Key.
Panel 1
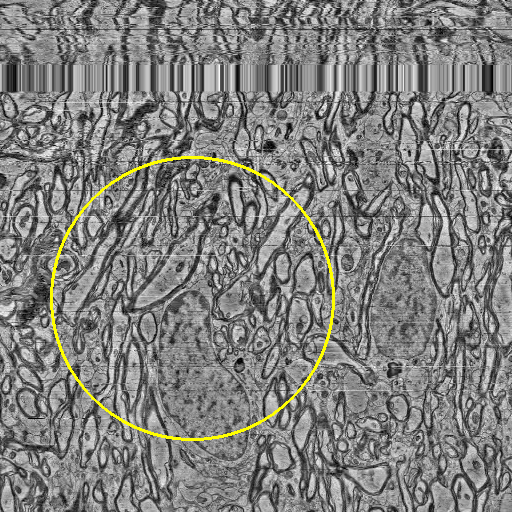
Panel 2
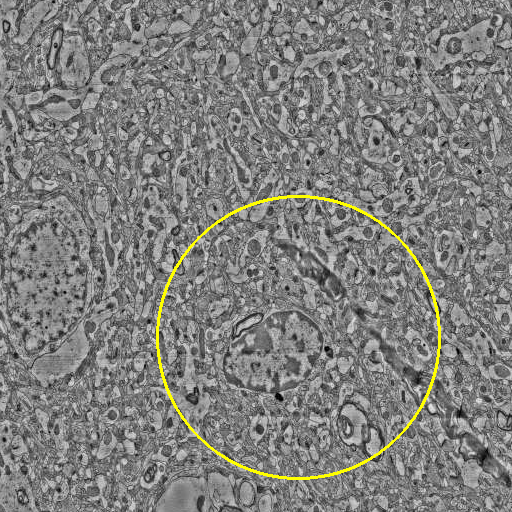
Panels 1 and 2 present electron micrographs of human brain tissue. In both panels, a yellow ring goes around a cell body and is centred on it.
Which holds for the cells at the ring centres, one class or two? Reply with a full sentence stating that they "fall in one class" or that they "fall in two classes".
Taken together, the ring-centre cells of the two panels fall in one class.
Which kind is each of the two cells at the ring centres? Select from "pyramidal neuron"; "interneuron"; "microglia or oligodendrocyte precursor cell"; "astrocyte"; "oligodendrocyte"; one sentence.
In each of the two pictures, the ringed cell is a microglial cell or oligodendrocyte precursor cell.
